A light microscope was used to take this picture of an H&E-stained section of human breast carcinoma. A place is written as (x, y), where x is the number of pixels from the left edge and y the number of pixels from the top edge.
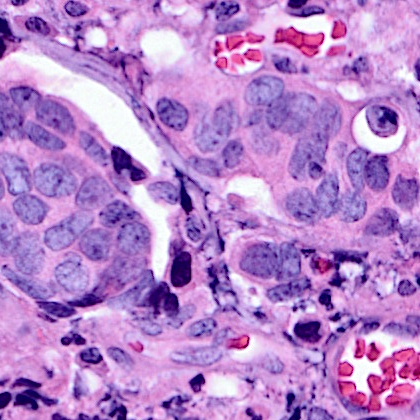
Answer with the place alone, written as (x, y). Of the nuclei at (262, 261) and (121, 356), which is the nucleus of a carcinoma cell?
(262, 261)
